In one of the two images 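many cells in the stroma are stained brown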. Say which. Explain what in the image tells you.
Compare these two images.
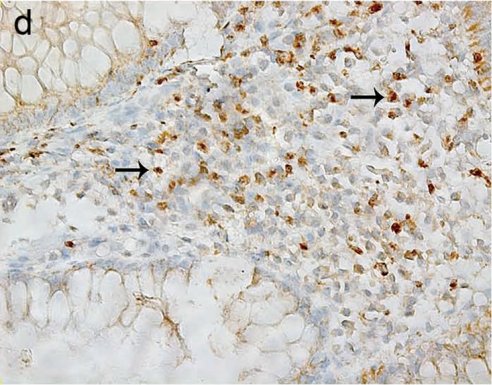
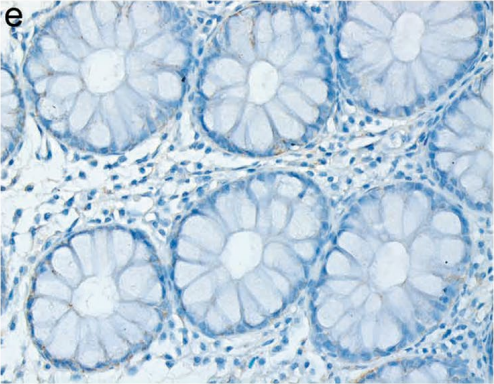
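First image: many round cells in the stroma are stained dark brown.
Conclusion: the first image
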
